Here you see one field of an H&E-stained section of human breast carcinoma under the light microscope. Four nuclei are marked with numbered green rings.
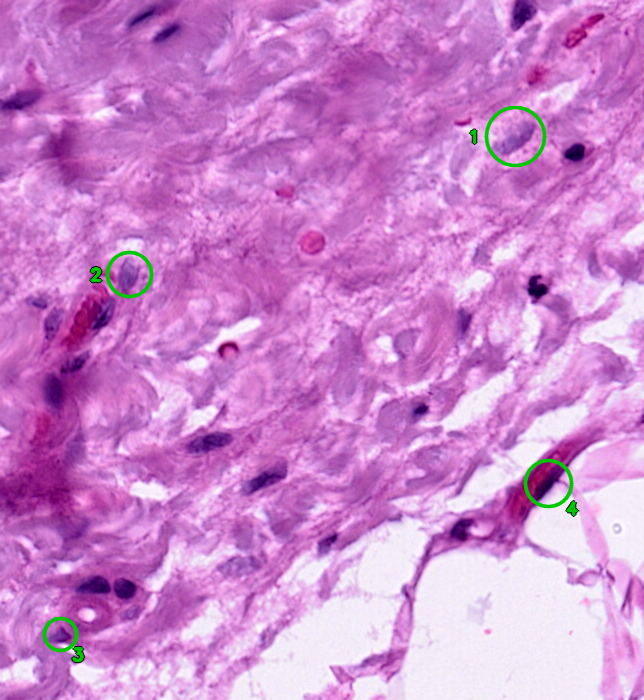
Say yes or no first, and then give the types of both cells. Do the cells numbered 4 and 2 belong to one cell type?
No, cell 4 is an endothelial cell, and cell 2, for its part, is a fibroblast.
